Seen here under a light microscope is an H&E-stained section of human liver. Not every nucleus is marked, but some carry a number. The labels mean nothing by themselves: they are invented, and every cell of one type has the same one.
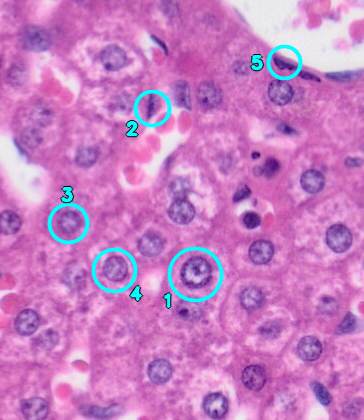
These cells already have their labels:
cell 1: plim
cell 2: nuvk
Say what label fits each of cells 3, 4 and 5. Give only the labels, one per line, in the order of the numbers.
plim
plim
nuvk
